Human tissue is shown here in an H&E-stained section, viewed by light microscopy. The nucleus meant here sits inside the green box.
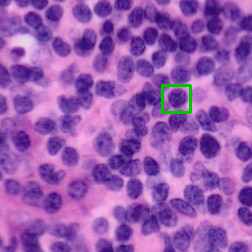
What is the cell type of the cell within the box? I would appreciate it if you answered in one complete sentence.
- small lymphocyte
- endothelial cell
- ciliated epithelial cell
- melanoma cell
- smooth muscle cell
The classification of the cell within the box is as a small lymphocyte.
